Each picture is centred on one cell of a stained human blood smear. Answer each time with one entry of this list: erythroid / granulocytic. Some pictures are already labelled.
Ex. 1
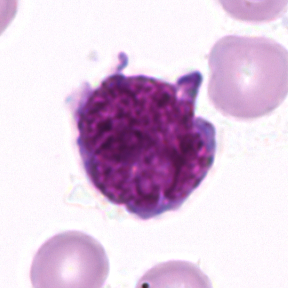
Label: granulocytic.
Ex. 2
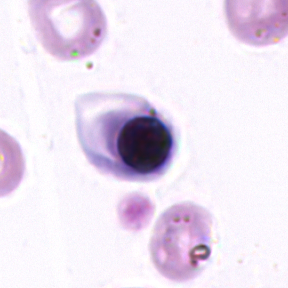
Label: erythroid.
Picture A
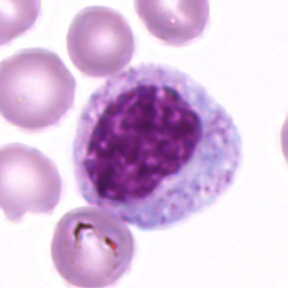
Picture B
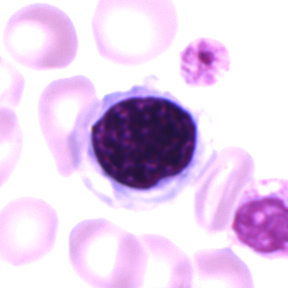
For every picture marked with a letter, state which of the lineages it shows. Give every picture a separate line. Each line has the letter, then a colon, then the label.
A: granulocytic.
B: erythroid.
